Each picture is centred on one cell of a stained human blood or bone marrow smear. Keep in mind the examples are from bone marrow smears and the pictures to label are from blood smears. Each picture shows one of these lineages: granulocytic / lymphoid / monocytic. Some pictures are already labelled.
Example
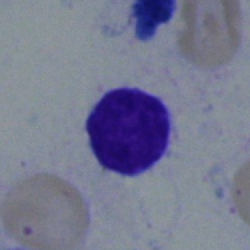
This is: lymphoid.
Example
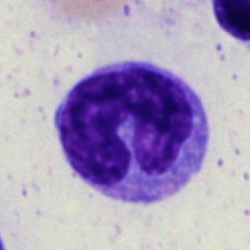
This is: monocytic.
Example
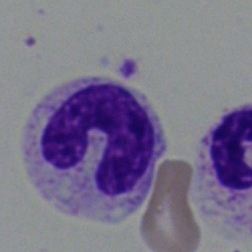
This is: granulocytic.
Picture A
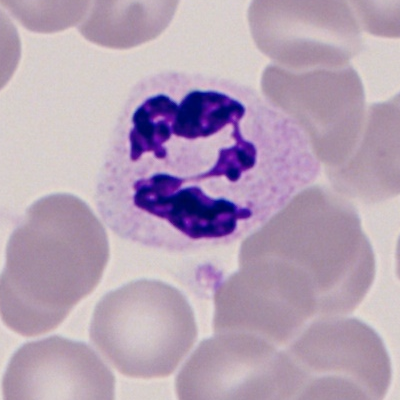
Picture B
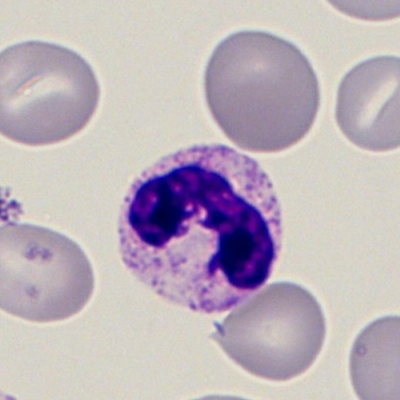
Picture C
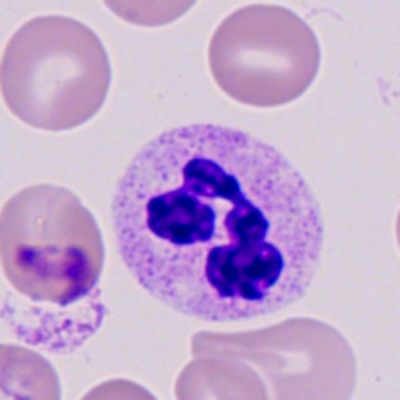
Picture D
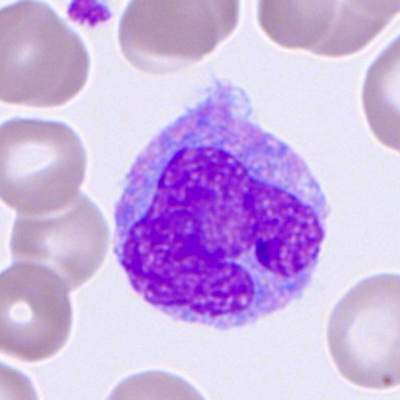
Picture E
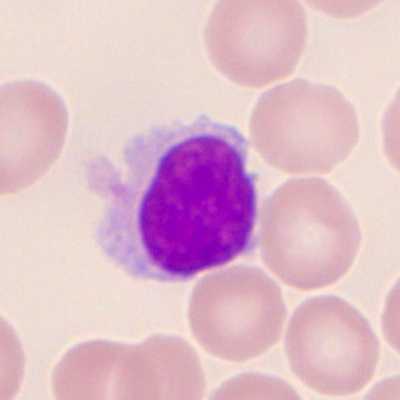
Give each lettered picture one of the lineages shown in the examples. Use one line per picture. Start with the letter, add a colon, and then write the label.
A: granulocytic.
B: granulocytic.
C: granulocytic.
D: monocytic.
E: lymphoid.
